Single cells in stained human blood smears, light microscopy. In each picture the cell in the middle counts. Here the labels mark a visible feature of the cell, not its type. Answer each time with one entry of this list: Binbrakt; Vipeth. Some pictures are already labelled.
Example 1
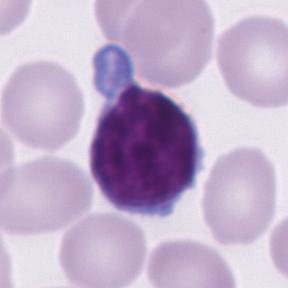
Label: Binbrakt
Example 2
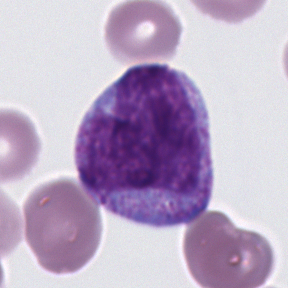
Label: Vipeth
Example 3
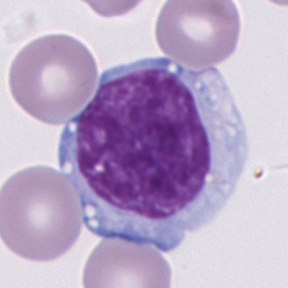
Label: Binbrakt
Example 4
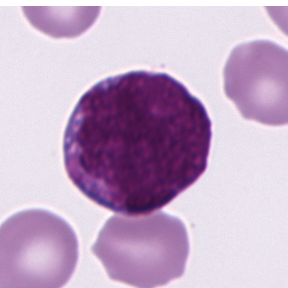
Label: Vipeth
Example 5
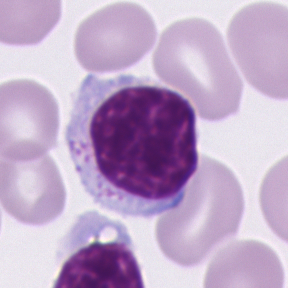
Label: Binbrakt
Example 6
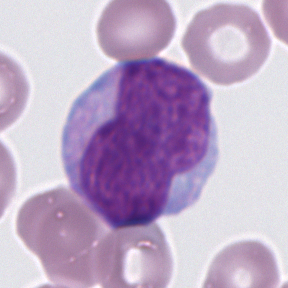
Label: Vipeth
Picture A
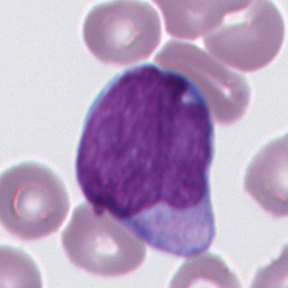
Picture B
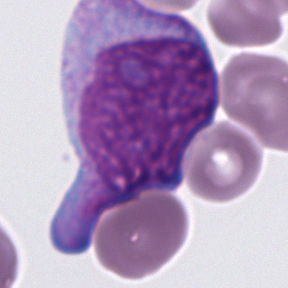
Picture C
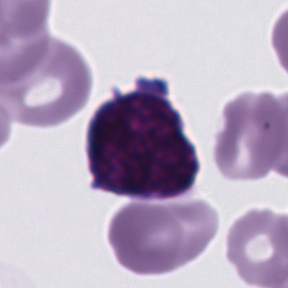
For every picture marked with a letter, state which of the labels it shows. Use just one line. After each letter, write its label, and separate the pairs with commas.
A Vipeth, B Binbrakt, C Binbrakt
